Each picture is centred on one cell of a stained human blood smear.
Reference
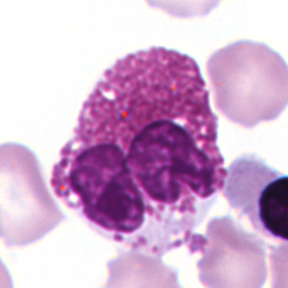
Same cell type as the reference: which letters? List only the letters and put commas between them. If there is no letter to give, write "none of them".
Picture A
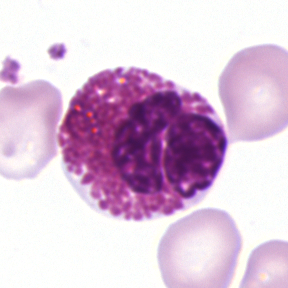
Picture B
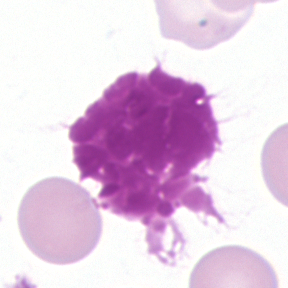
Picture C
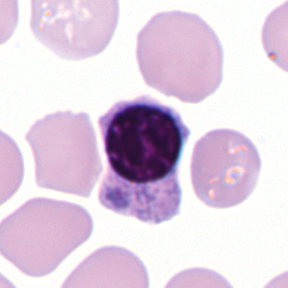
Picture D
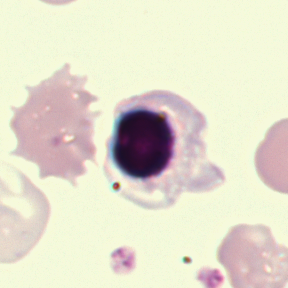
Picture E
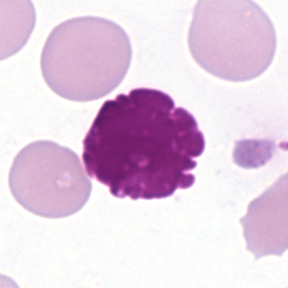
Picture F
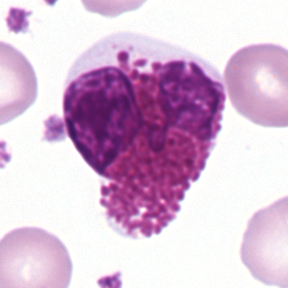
A, F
